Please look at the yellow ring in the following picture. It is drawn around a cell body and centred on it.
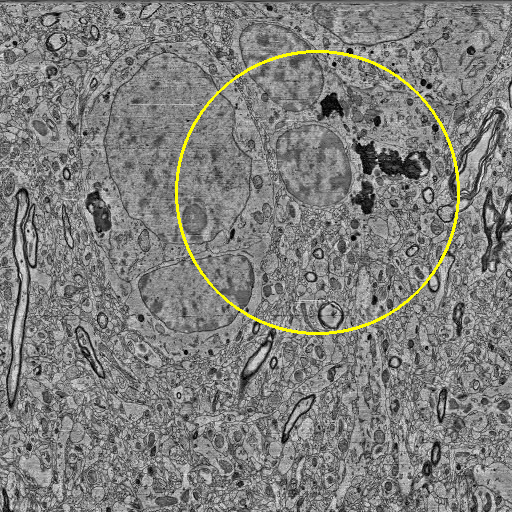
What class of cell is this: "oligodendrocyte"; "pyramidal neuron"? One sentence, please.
The ring surrounds the cell body of an oligodendrocyte.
